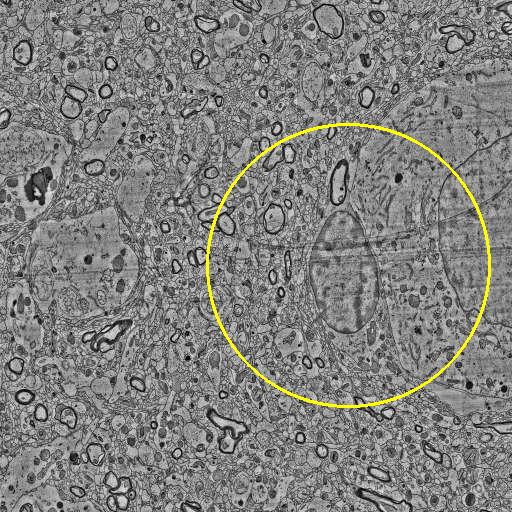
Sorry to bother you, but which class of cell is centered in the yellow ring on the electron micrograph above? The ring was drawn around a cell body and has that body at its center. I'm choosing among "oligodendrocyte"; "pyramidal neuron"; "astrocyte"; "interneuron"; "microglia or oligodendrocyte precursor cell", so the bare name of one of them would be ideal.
oligodendrocyte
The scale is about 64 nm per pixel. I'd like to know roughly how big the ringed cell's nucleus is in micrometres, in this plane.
Clearly longer than it is wide in this plane, the nucleus measures roughly 8 by 5 micrometres.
